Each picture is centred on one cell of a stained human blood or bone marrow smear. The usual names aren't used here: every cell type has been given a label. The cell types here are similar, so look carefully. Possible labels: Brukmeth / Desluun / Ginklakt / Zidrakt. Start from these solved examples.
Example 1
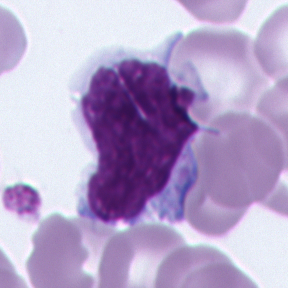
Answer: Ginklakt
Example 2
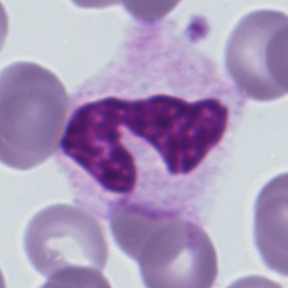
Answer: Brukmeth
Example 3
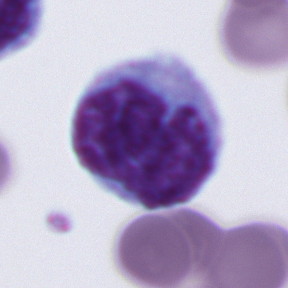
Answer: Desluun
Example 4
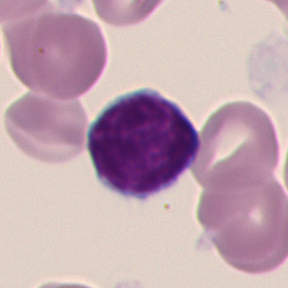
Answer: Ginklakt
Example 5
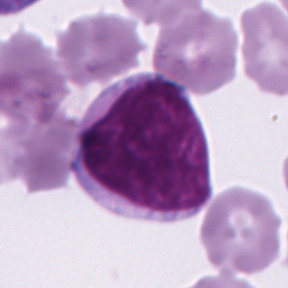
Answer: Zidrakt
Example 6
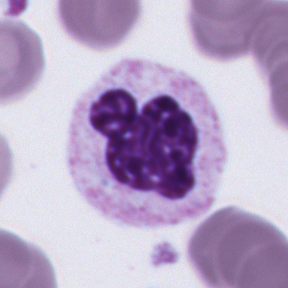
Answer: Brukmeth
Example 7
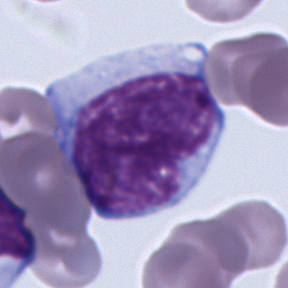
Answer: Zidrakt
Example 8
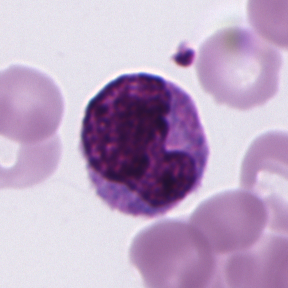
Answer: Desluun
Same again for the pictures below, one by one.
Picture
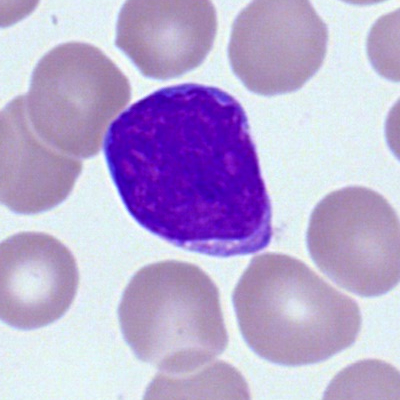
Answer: Zidrakt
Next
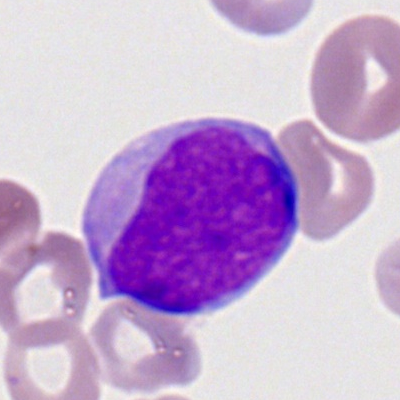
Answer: Zidrakt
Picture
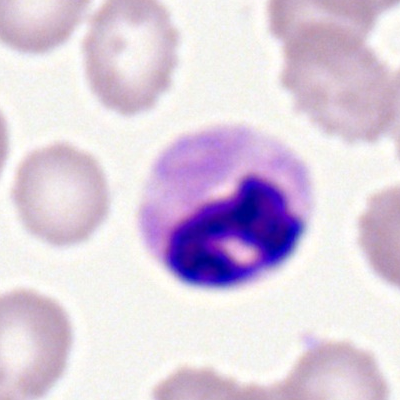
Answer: Brukmeth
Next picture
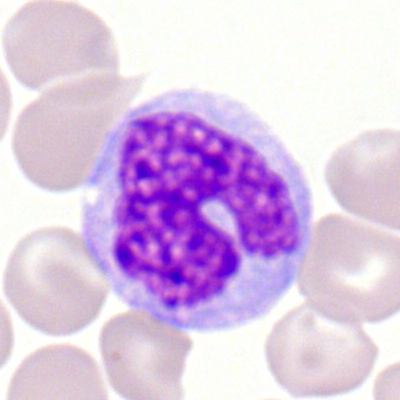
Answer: Desluun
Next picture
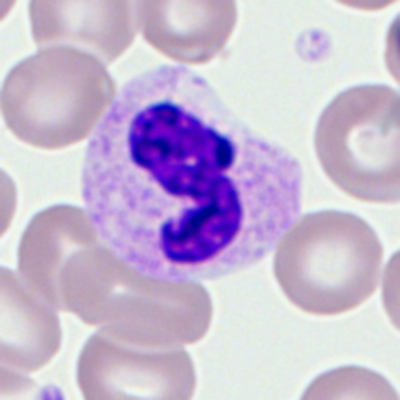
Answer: Brukmeth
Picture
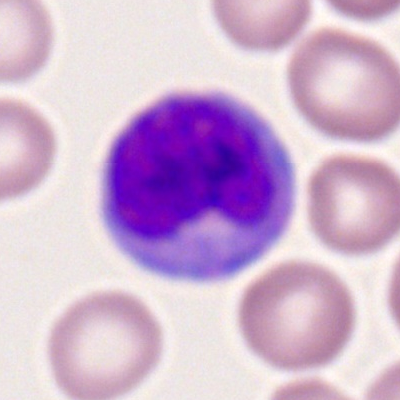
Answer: Desluun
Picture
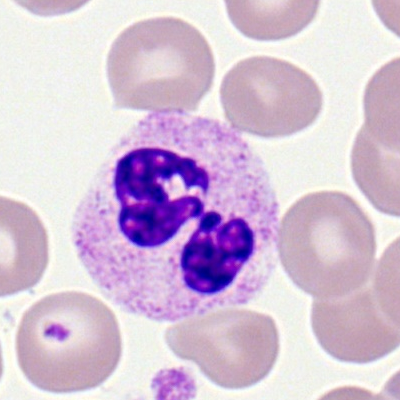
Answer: Brukmeth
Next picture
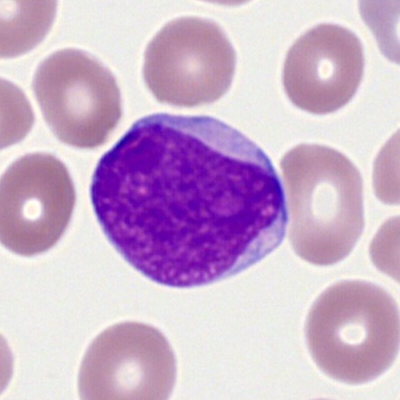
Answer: Zidrakt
